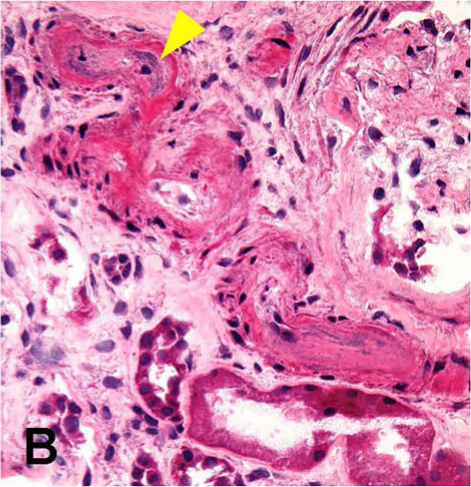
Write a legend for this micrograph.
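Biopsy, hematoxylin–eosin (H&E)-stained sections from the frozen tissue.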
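This section shows several small arterial vessels cut across and lengthwise among kidney tubules and loose pink interstitium. The vessel walls are thick and intensely pink, and their lumens are narrowed to slits or nearly closed. At one vessel the inner layer is widened by paler, bluish-pink material. Nearby tubules at the lower part are lined by cuboidal epithelial cells with round dark nuclei around open lumens.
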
